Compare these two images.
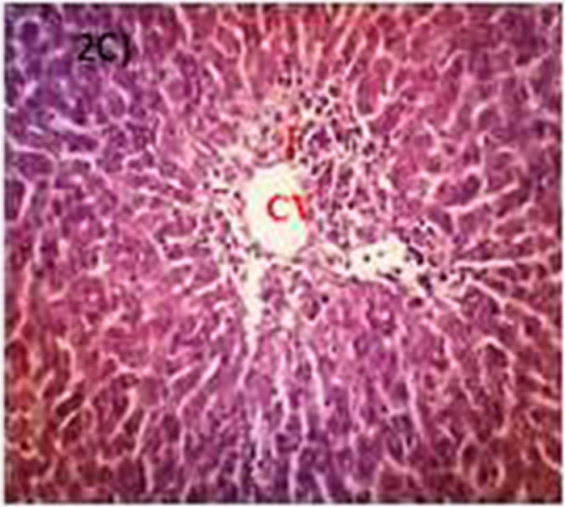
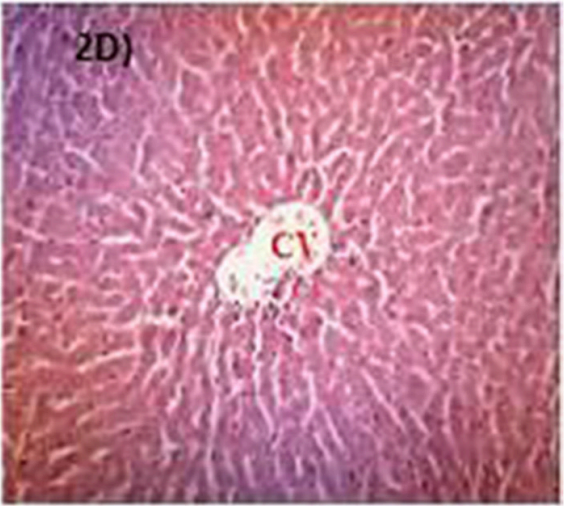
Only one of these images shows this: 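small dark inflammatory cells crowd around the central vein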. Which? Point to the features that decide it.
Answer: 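The first image. Second image: the tissue around the central vein shows evenly arranged cell cords with no dense cluster of small dark nuclei. First image: a dense gathering of small dark rounded nuclei surrounds the central vein.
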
